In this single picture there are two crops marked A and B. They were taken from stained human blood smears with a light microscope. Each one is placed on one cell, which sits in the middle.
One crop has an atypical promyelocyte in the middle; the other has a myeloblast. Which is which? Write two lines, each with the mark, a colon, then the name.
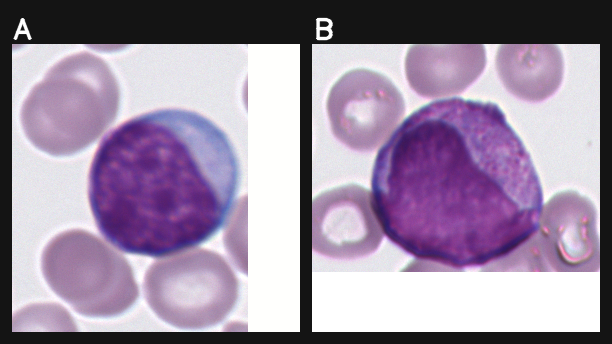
A: myeloblast
B: atypical promyelocyte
